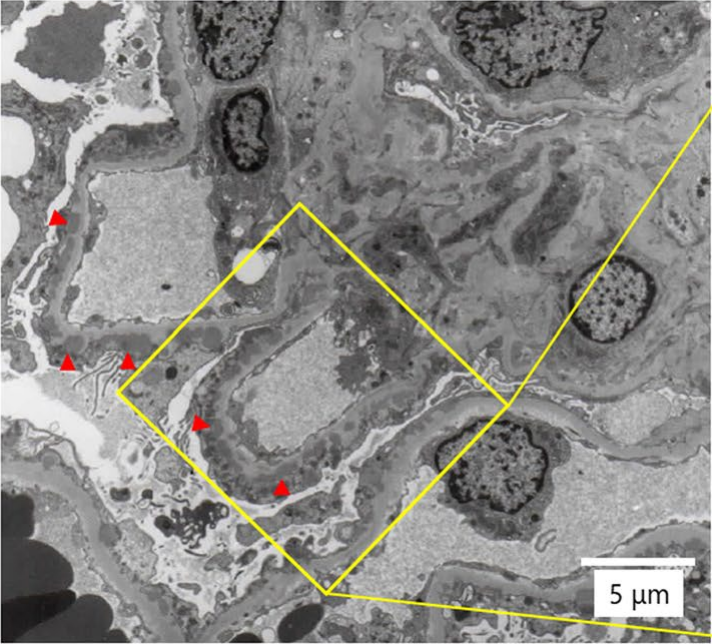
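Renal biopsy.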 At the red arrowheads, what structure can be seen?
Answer: Granular electron-dense deposits.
